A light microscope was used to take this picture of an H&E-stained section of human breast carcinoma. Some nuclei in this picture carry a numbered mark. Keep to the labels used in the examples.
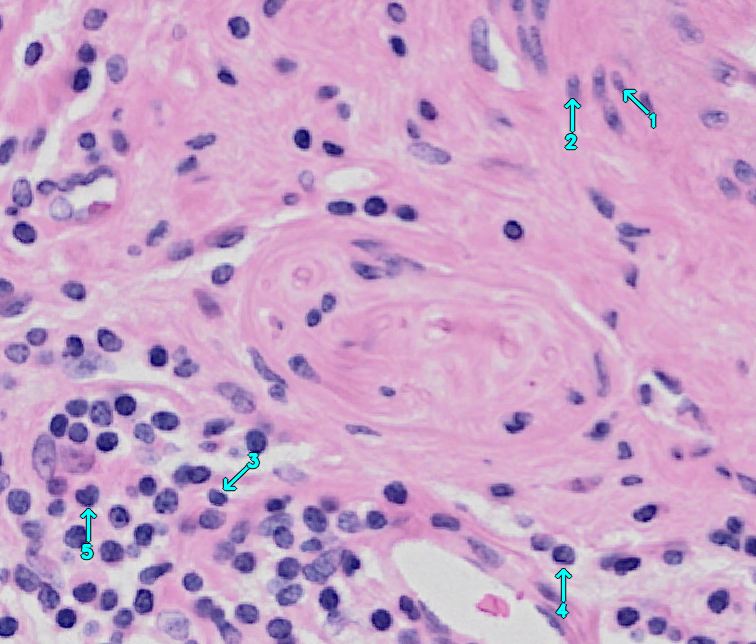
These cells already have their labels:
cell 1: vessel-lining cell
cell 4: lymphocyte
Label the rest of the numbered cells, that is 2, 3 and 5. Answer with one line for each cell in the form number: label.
2: vessel-lining cell
3: lymphocyte
5: lymphocyte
